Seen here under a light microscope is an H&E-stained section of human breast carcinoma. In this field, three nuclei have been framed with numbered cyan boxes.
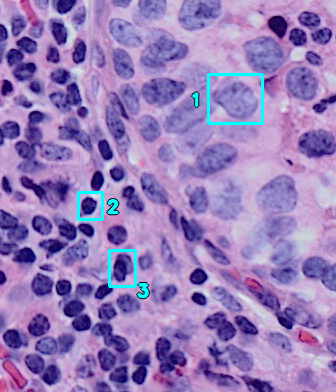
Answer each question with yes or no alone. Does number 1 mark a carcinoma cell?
yes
